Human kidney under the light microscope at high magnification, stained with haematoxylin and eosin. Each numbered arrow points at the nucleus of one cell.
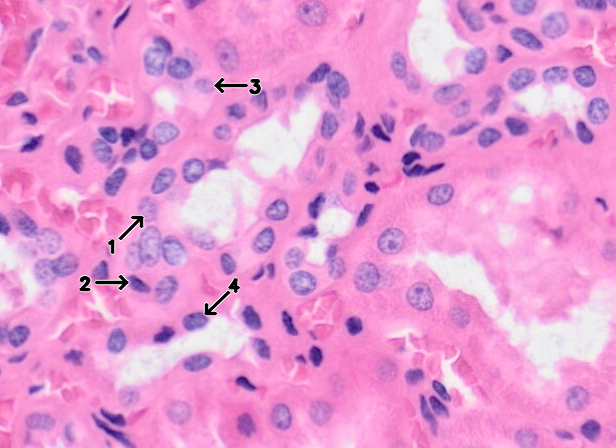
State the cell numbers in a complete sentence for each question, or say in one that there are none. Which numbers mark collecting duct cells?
In this section, the cells labelled 1, 2 and 3 are collecting duct cells.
